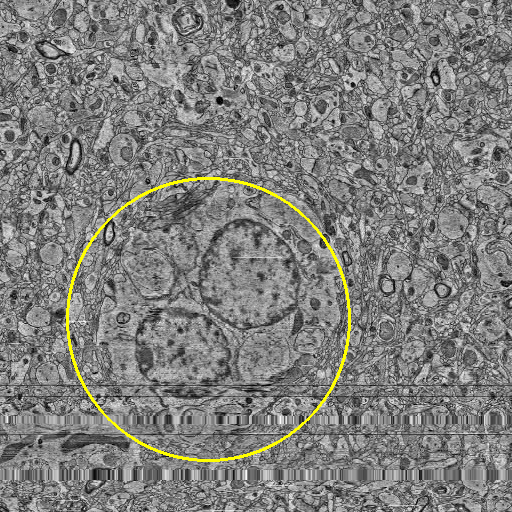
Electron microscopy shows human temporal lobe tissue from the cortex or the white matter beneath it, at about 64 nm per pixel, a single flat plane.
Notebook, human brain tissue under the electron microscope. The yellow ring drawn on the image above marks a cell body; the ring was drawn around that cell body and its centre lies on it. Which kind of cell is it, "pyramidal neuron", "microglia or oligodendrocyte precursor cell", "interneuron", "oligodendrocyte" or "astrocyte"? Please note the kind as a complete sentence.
The marked cell body is that of an astrocyte.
